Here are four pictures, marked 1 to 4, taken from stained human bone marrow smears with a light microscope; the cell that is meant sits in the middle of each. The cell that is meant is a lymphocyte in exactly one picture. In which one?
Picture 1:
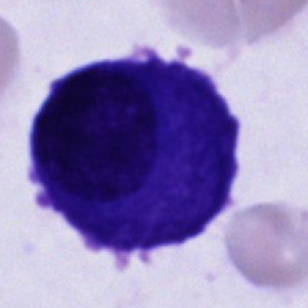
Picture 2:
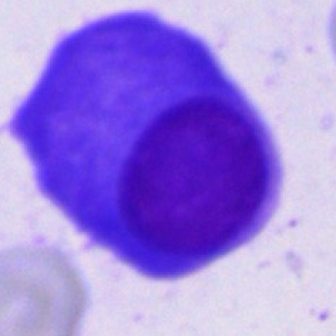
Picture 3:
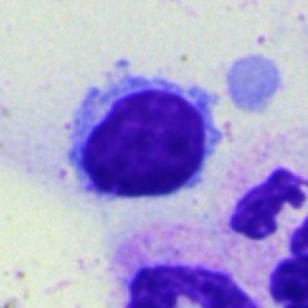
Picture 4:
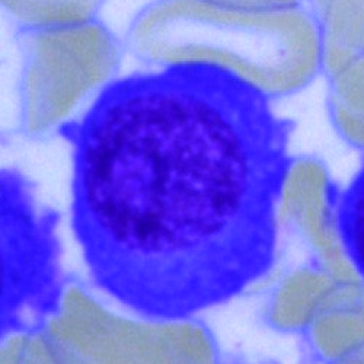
3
